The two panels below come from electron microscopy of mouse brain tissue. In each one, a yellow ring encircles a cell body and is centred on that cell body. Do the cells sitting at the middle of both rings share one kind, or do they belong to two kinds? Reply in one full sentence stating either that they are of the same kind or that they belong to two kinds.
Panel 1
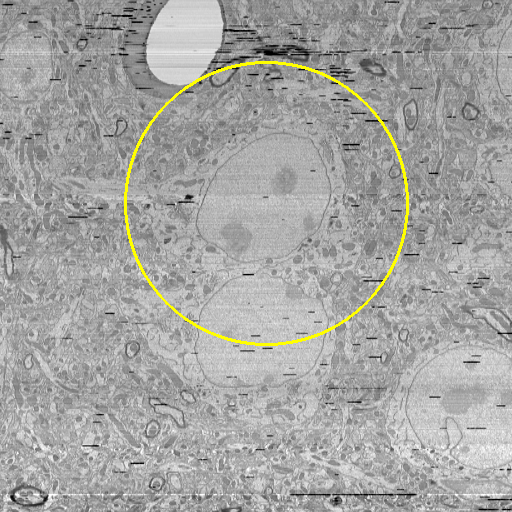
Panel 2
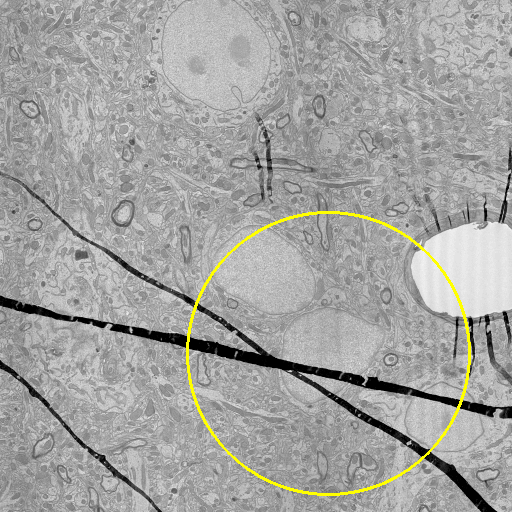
The cells at the centres of the two rings belong to two kinds.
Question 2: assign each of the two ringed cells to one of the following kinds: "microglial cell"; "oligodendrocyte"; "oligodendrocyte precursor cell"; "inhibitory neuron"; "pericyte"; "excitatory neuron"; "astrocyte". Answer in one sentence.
The two cells are an excitatory neuron in the first picture and an astrocyte in the second.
